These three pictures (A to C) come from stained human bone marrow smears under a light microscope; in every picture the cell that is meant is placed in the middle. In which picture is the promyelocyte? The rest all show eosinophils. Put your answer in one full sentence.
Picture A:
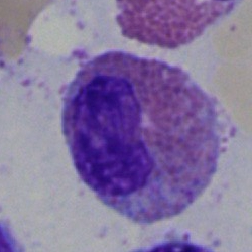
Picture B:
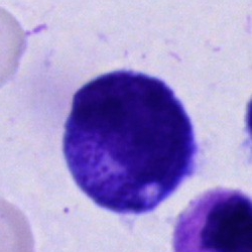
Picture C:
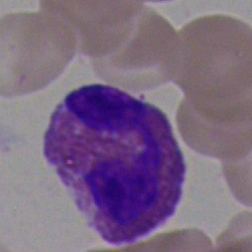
The cell in picture B is the promyelocyte.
